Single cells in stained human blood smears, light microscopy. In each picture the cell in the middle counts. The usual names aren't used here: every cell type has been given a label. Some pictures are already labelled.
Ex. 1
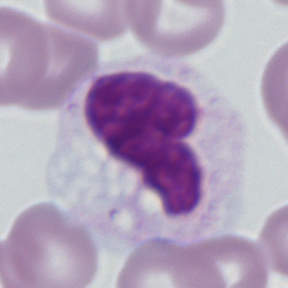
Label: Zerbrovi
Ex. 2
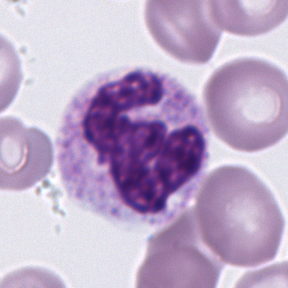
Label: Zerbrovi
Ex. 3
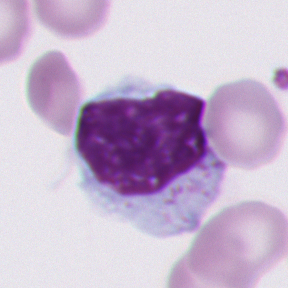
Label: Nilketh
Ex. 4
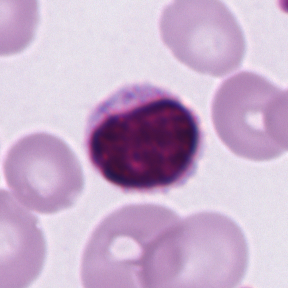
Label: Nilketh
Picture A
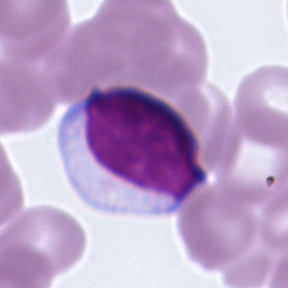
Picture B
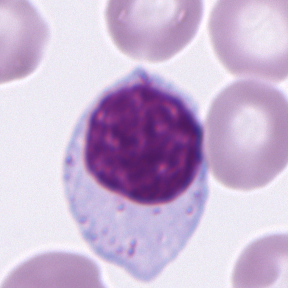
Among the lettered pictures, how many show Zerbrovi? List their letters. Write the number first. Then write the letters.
0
